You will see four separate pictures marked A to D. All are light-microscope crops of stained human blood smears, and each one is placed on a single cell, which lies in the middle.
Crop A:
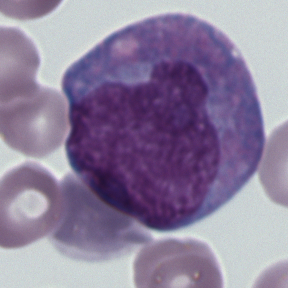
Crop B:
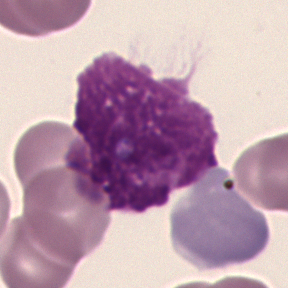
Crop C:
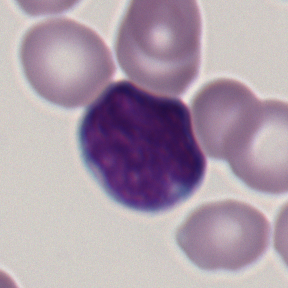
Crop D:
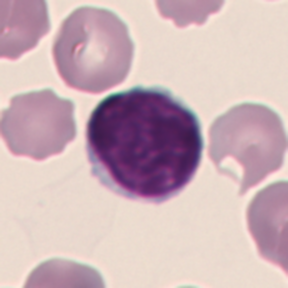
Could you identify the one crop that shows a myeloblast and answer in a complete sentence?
Crop C is the one to choose: it shows a myeloblast.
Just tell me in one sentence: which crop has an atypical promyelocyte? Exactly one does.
The cell identified as an atypical promyelocyte is the one in crop A.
